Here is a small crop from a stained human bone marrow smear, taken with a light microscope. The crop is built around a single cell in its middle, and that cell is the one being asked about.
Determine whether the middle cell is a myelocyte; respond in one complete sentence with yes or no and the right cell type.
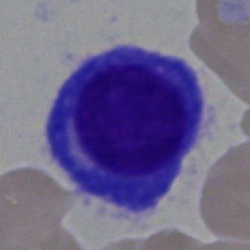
No, what is seen at the centre is a plasma cell instead of a myelocyte.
